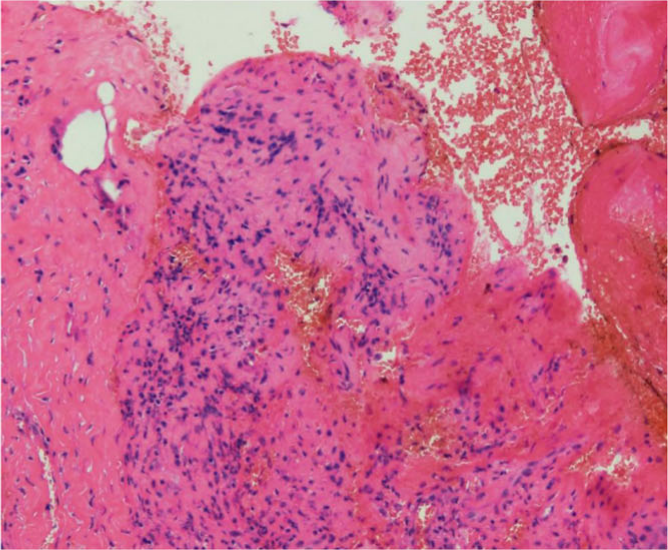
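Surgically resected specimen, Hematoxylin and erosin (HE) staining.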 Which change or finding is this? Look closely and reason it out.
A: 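Chronic inflammatory cells infiltration. Many small dark purple nuclei are scattered through pink fibrous tissue. Extravasated red blood cells lie among the cells and at the top right.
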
